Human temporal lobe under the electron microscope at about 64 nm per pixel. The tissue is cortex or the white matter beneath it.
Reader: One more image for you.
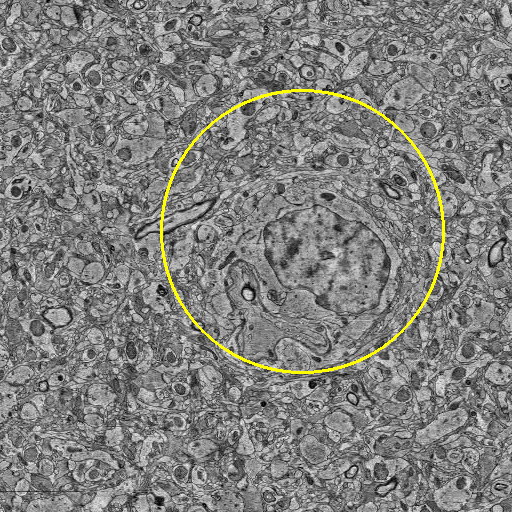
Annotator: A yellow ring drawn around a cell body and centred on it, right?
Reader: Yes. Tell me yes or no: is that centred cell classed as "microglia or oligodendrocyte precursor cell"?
yes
